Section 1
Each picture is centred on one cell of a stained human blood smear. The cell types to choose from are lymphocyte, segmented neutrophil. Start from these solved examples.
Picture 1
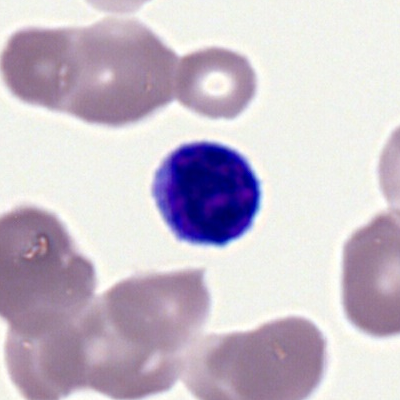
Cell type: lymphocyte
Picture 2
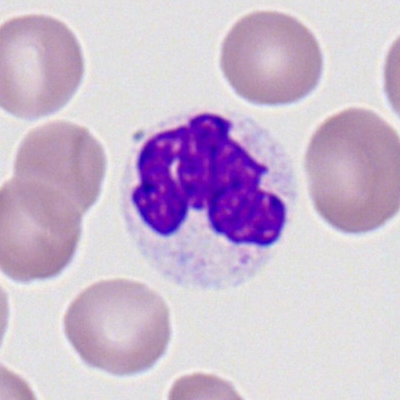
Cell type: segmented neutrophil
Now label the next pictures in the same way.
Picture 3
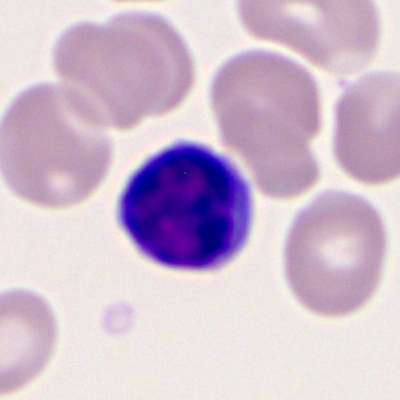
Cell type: lymphocyte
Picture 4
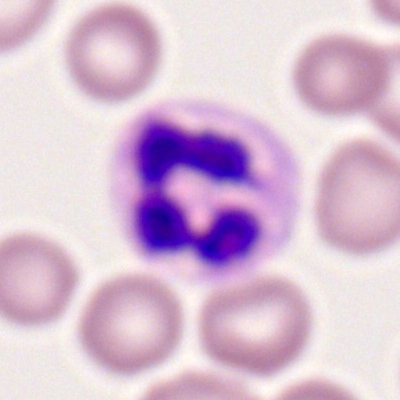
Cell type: segmented neutrophil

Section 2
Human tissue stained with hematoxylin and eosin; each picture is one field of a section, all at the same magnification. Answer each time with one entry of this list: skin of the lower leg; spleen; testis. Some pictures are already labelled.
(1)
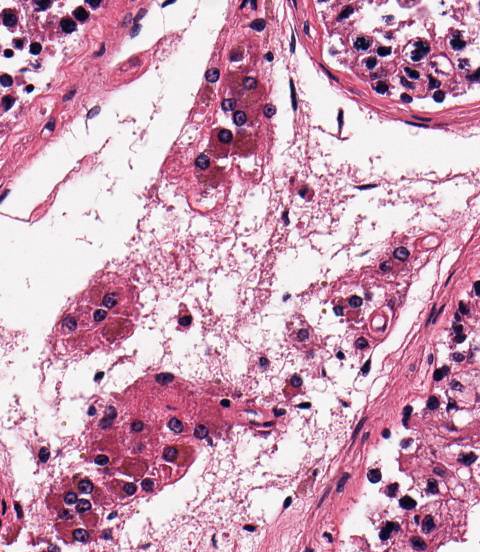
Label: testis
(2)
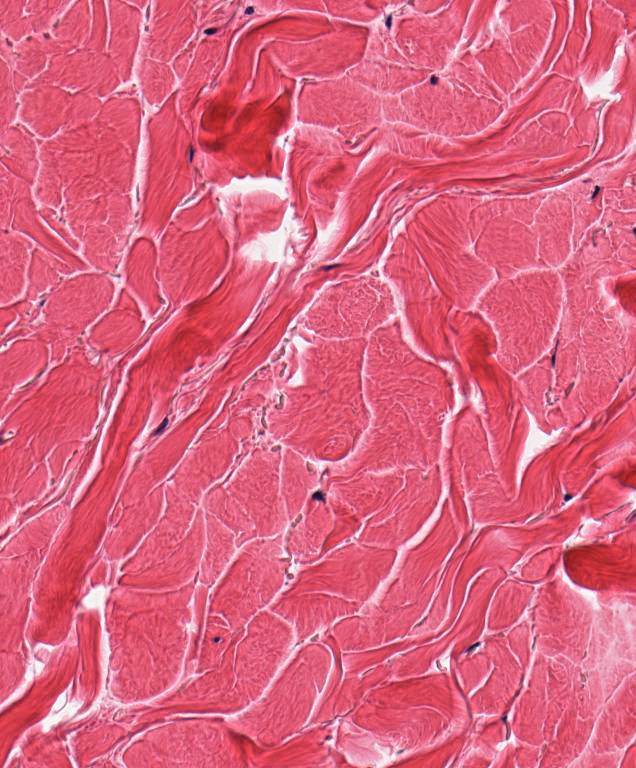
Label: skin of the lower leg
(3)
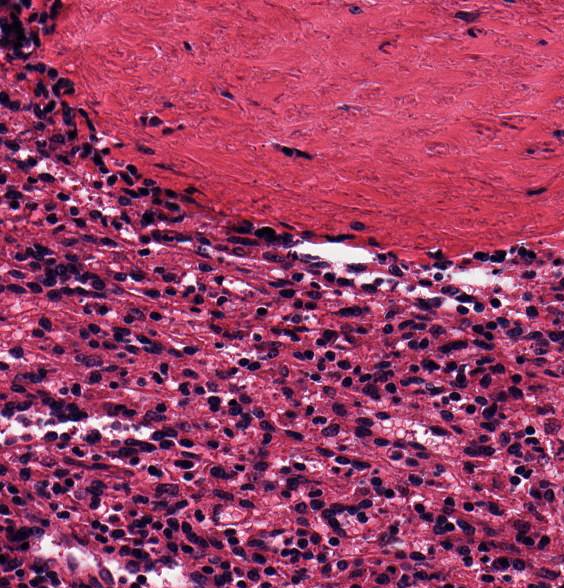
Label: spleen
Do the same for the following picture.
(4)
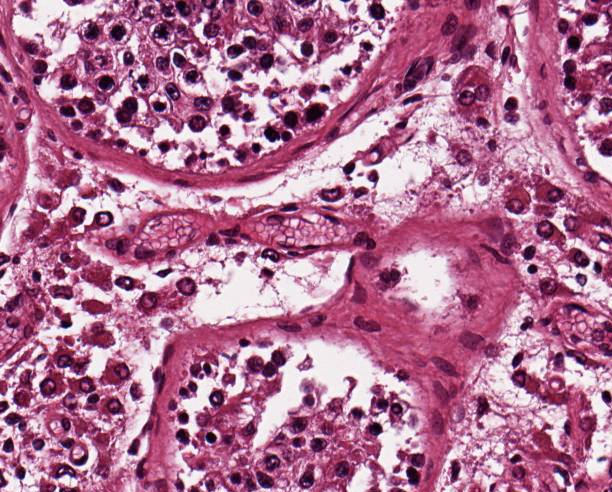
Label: testis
